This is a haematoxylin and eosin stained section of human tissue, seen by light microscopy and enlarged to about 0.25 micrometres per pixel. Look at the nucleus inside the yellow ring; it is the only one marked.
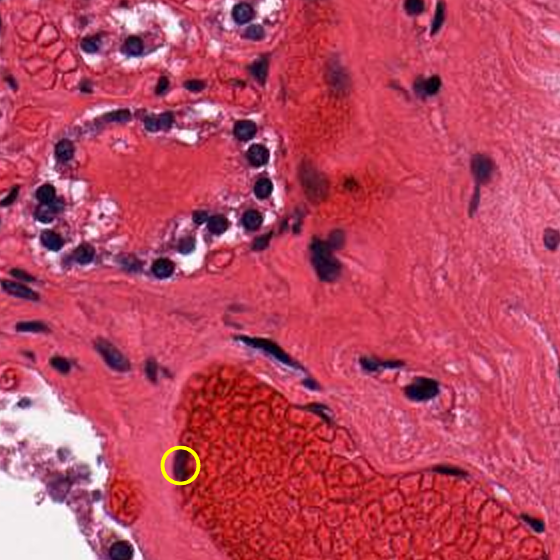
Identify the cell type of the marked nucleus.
endothelial cell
